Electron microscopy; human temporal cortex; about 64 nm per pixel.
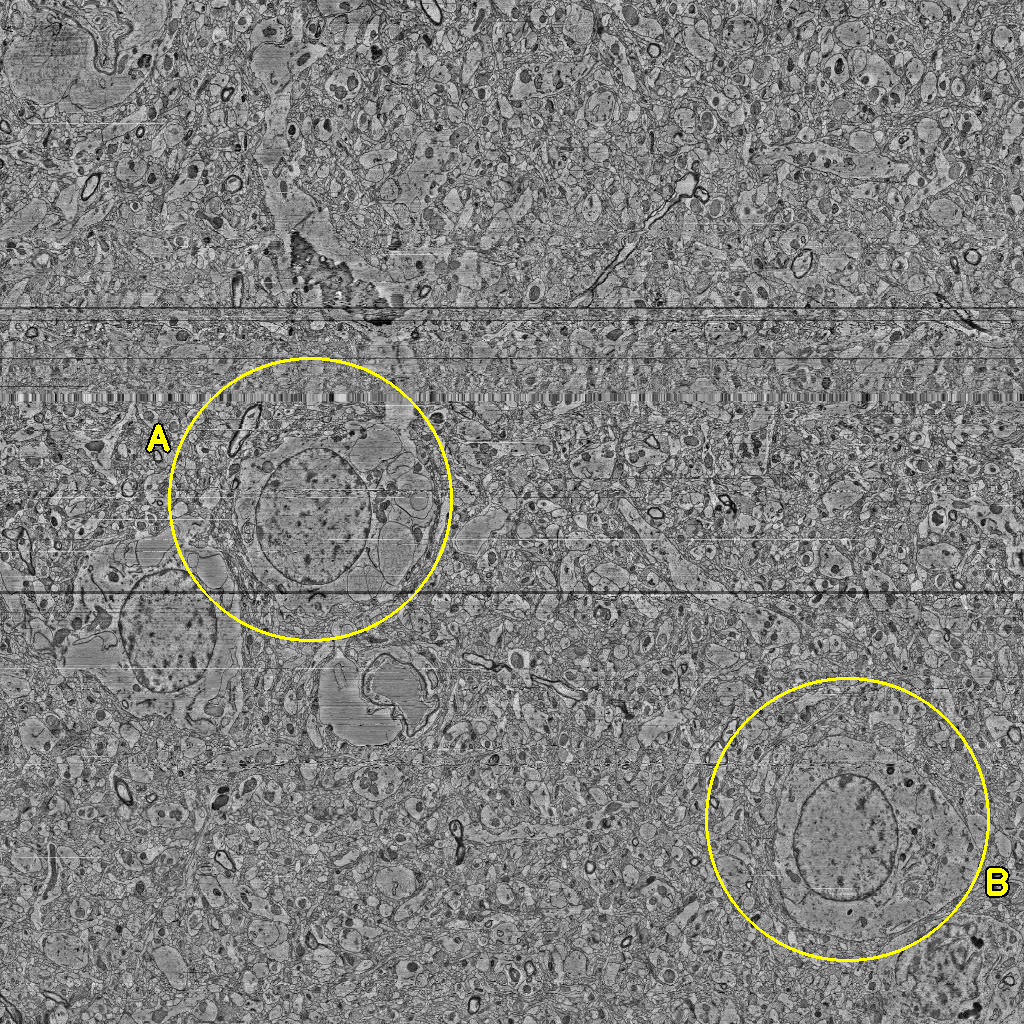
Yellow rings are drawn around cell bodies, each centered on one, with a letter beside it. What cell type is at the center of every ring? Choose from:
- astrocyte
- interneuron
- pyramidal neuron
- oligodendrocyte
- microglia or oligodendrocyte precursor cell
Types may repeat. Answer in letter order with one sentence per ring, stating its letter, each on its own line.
The cell at the center of ring A is an astrocyte.
The cell at the center of ring B is a pyramidal neuron.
